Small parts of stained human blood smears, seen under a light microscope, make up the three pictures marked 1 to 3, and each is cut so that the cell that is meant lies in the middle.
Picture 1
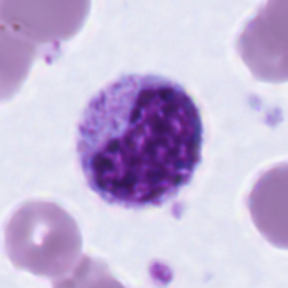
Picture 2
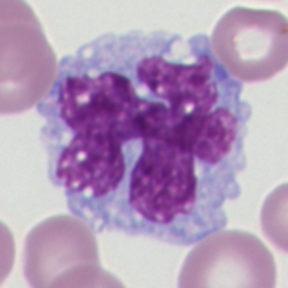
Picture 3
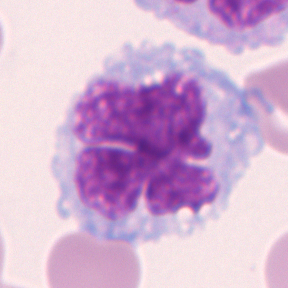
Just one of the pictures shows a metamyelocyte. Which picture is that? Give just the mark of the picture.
1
